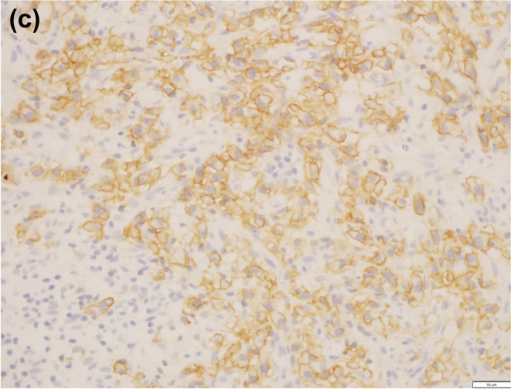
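The cells lie in sheets and clusters, each with a crisp brown rim around a rounded cell body and a blue, often eccentric nucleus. The stained cells are numerous and closely packed, with unstained spindle-shaped and oval nuclei of the stroma lying between the clusters. The cytoplasm inside the rims is pale, so the staining appears as a honeycomb of brown outlines across much of the field.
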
